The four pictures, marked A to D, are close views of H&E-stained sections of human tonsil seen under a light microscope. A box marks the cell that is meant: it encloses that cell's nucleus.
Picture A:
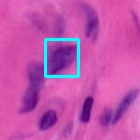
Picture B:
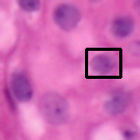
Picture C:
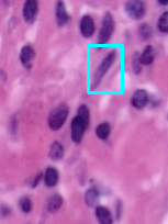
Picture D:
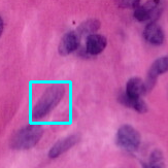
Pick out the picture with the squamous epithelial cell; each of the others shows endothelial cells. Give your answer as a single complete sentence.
The squamous epithelial cell is the one in picture B.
